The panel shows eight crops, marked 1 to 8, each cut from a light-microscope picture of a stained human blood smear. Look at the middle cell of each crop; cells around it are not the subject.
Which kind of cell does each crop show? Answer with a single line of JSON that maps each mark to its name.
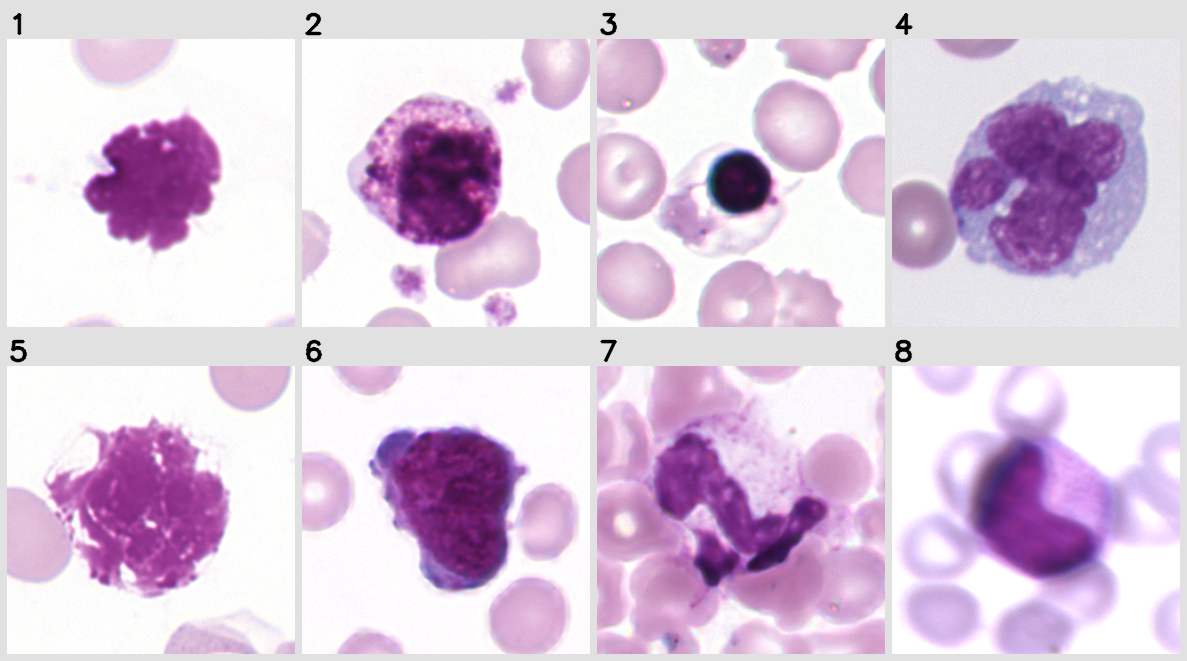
{"1": "smudge cell", "2": "basophil", "3": "normoblast", "4": "monocyte", "5": "smudge cell", "6": "atypical promyelocyte", "7": "segmented neutrophil", "8": "band neutrophil"}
